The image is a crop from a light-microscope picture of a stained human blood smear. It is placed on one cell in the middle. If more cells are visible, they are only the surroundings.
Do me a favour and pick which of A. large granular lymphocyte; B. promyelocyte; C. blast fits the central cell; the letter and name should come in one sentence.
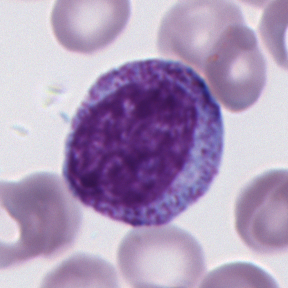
Of the choices given, option B is right, as the central cell is a promyelocyte.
